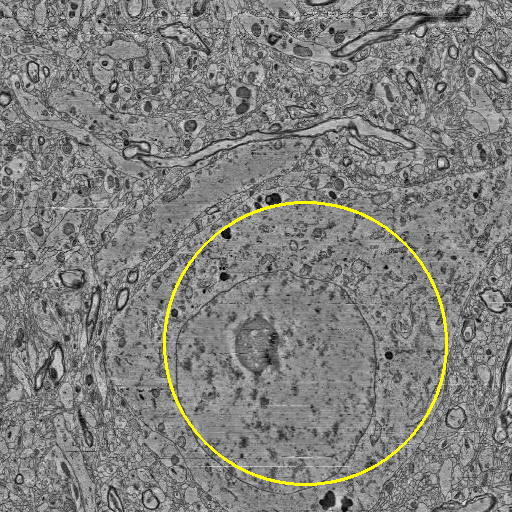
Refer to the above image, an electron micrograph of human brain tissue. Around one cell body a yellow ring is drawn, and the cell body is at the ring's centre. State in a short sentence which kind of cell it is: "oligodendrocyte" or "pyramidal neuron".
The centre of the ring falls on a pyramidal neuron.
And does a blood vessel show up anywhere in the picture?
No.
